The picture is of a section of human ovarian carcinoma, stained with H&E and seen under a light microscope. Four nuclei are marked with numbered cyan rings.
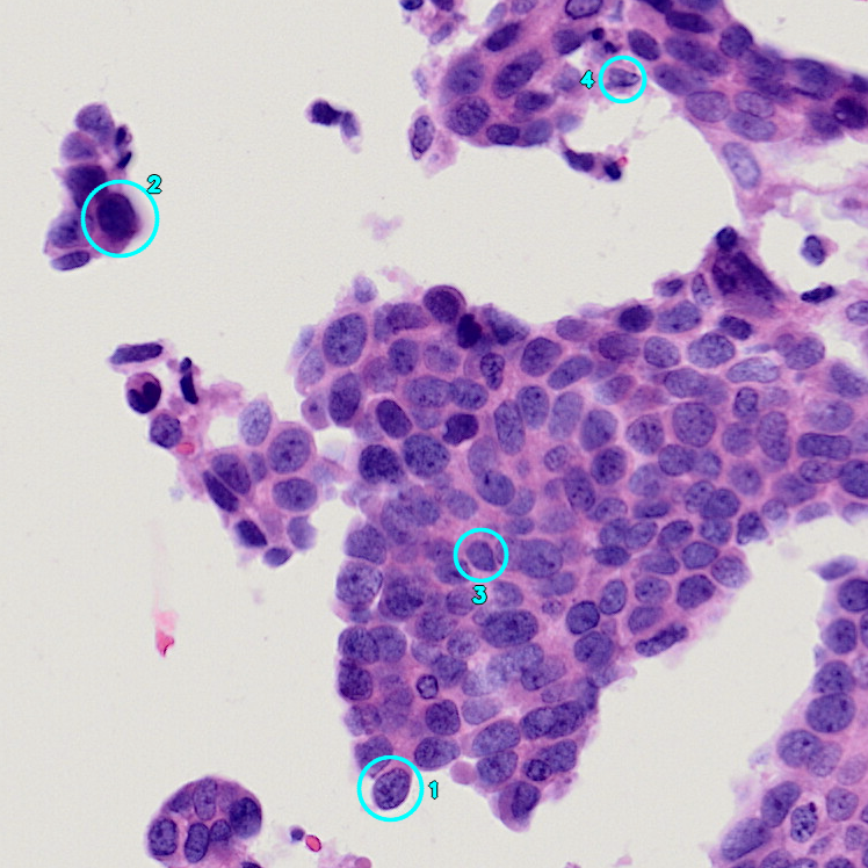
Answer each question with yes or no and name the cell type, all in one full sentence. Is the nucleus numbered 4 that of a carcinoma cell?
No, cell 4 should be read as a macrophage or monocyte instead of a carcinoma cell.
